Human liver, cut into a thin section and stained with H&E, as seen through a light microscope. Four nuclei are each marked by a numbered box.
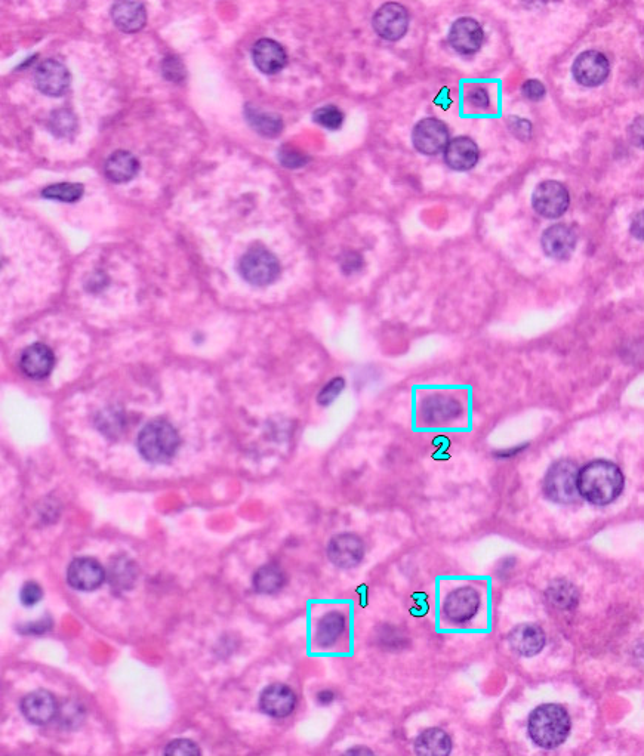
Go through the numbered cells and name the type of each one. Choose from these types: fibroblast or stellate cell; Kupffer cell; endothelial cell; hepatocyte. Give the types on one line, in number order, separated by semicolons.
Kupffer cell; hepatocyte; hepatocyte; fibroblast or stellate cell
